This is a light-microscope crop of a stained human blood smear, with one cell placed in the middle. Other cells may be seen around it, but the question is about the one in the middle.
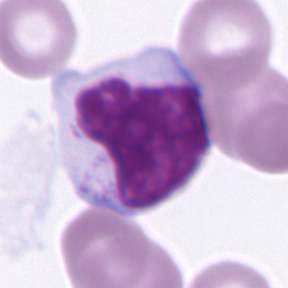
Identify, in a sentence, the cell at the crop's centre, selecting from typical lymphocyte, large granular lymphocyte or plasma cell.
Present in the middle of the crop is a large granular lymphocyte.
